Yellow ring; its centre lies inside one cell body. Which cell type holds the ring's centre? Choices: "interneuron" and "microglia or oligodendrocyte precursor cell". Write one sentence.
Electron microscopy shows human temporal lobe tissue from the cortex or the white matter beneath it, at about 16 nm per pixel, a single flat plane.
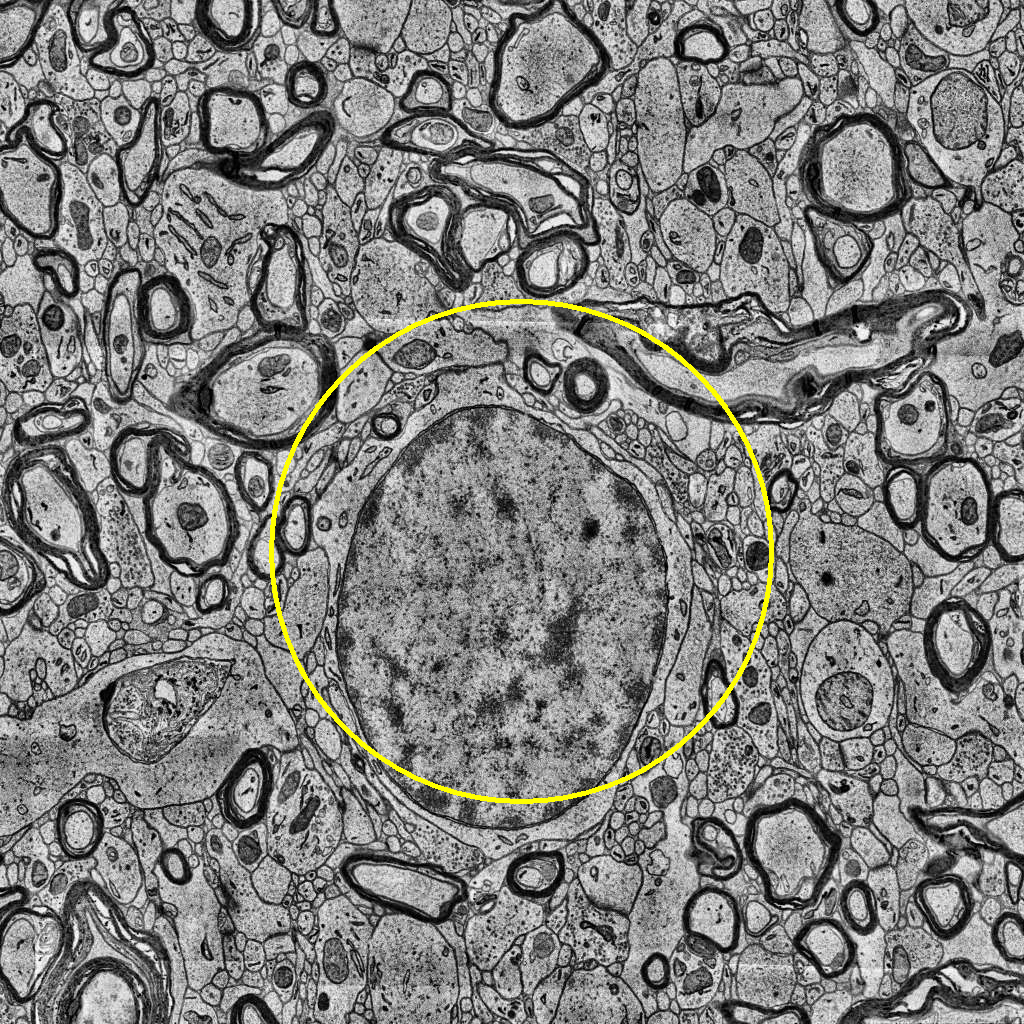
At the centre of the ring sits a microglial cell or oligodendrocyte precursor cell.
